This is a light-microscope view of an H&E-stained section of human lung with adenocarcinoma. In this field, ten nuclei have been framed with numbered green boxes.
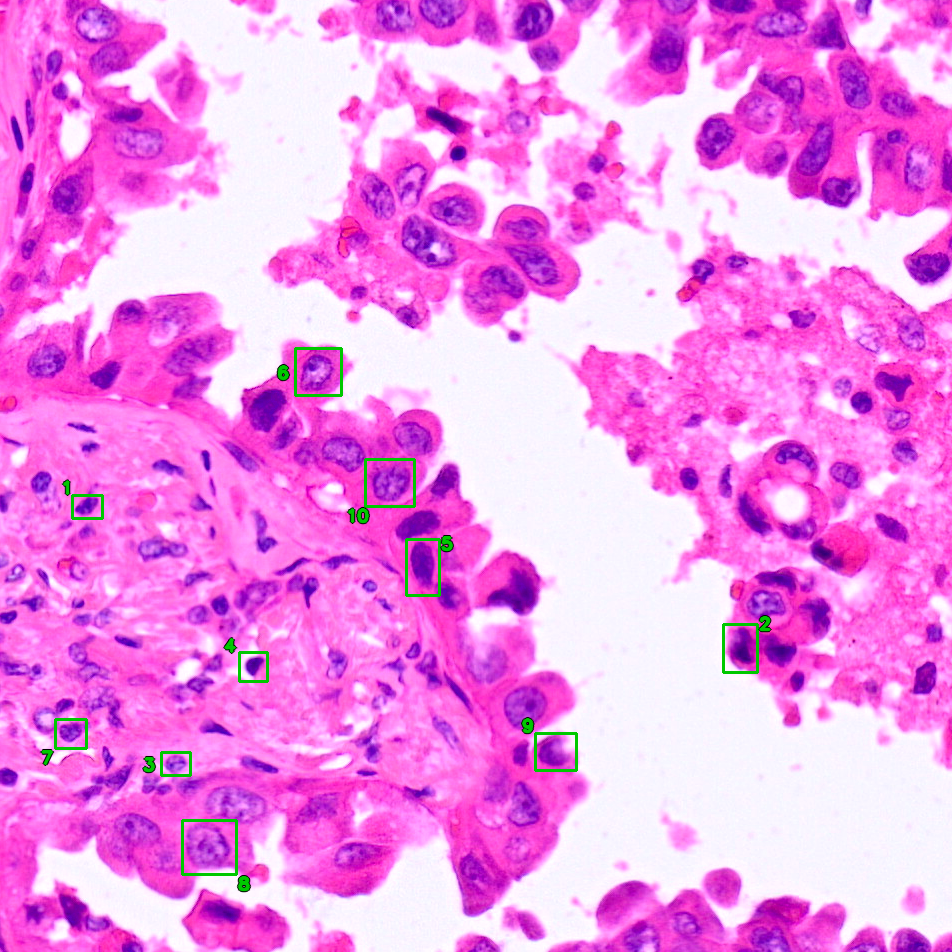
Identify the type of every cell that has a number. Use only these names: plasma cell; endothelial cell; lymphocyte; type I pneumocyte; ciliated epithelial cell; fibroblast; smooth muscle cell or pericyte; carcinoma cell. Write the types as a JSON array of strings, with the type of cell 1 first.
["lymphocyte", "carcinoma cell", "lymphocyte", "lymphocyte", "carcinoma cell", "carcinoma cell", "lymphocyte", "carcinoma cell", "carcinoma cell", "carcinoma cell"]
